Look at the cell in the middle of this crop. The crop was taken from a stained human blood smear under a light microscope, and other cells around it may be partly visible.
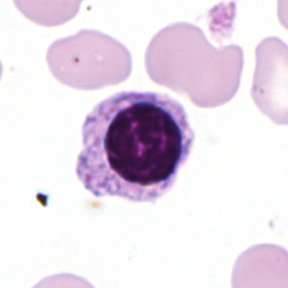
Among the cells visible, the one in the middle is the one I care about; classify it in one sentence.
Regarding the central cell, it is an erythroblast.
